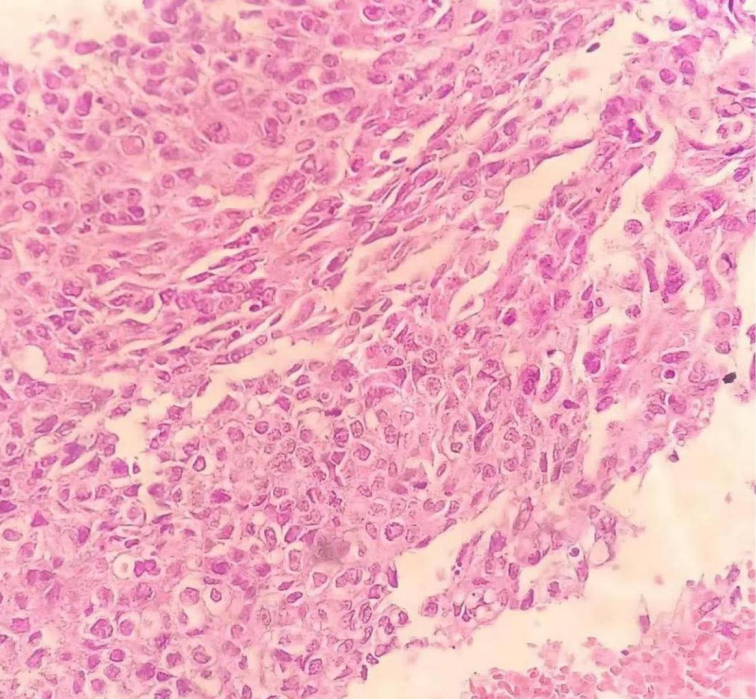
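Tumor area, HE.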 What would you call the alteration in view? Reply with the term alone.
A: Pleomorphic cells.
